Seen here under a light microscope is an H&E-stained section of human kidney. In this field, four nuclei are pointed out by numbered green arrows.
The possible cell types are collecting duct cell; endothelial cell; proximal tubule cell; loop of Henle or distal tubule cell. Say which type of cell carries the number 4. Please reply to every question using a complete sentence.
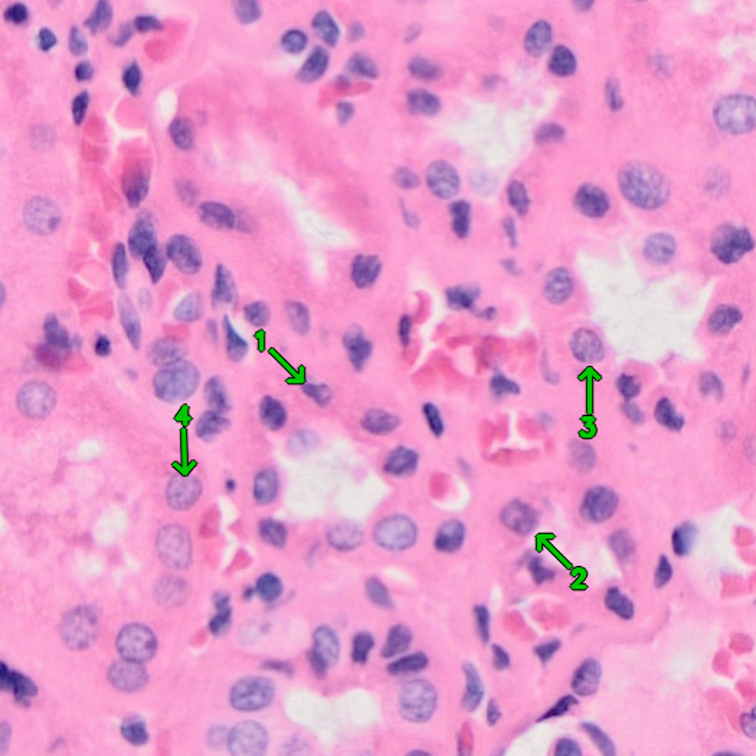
Here, the cell given the number 4 is a proximal tubule cell.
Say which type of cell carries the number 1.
The cell tagged with 1 in this tissue section is a loop of Henle or distal tubule cell.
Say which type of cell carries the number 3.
Cell 3, among those numbered, is a loop of Henle or distal tubule cell.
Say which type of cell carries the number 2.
Number 2 among the marked cells is a loop of Henle or distal tubule cell.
